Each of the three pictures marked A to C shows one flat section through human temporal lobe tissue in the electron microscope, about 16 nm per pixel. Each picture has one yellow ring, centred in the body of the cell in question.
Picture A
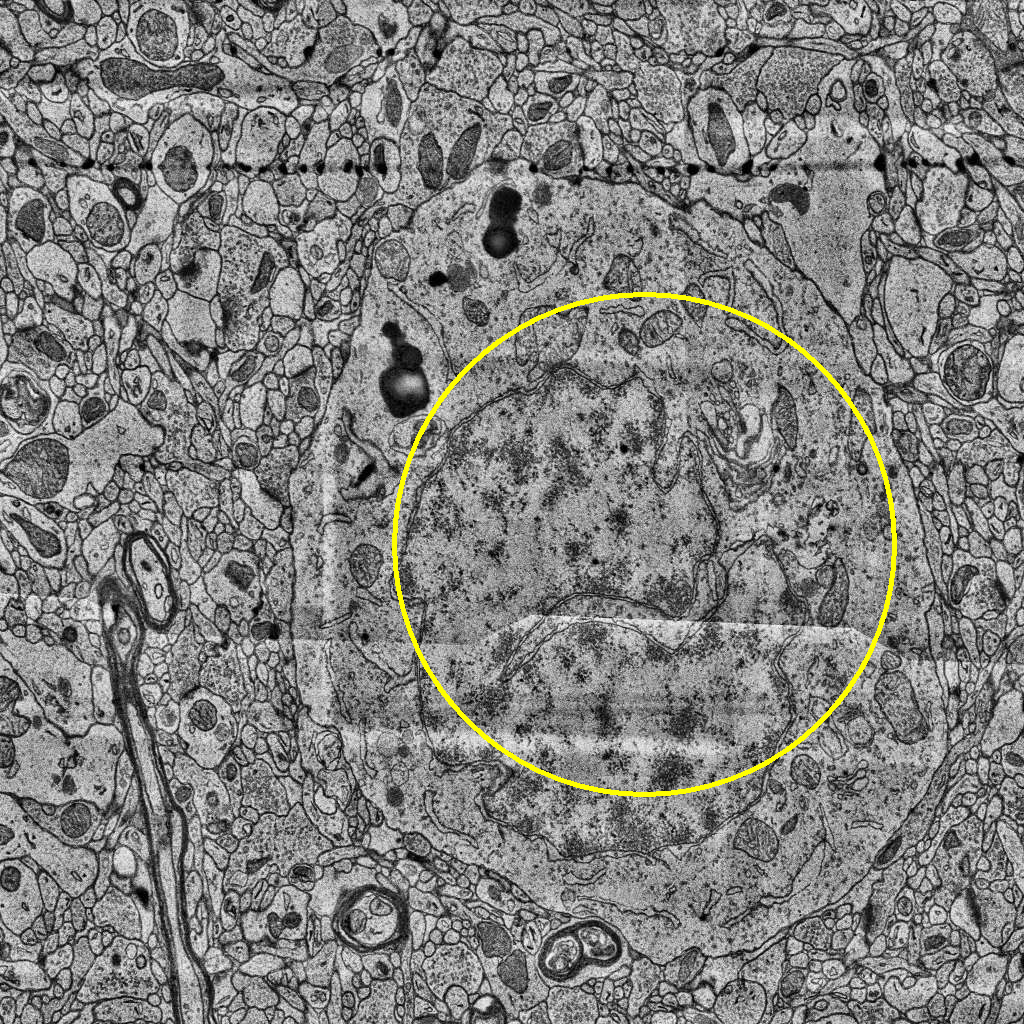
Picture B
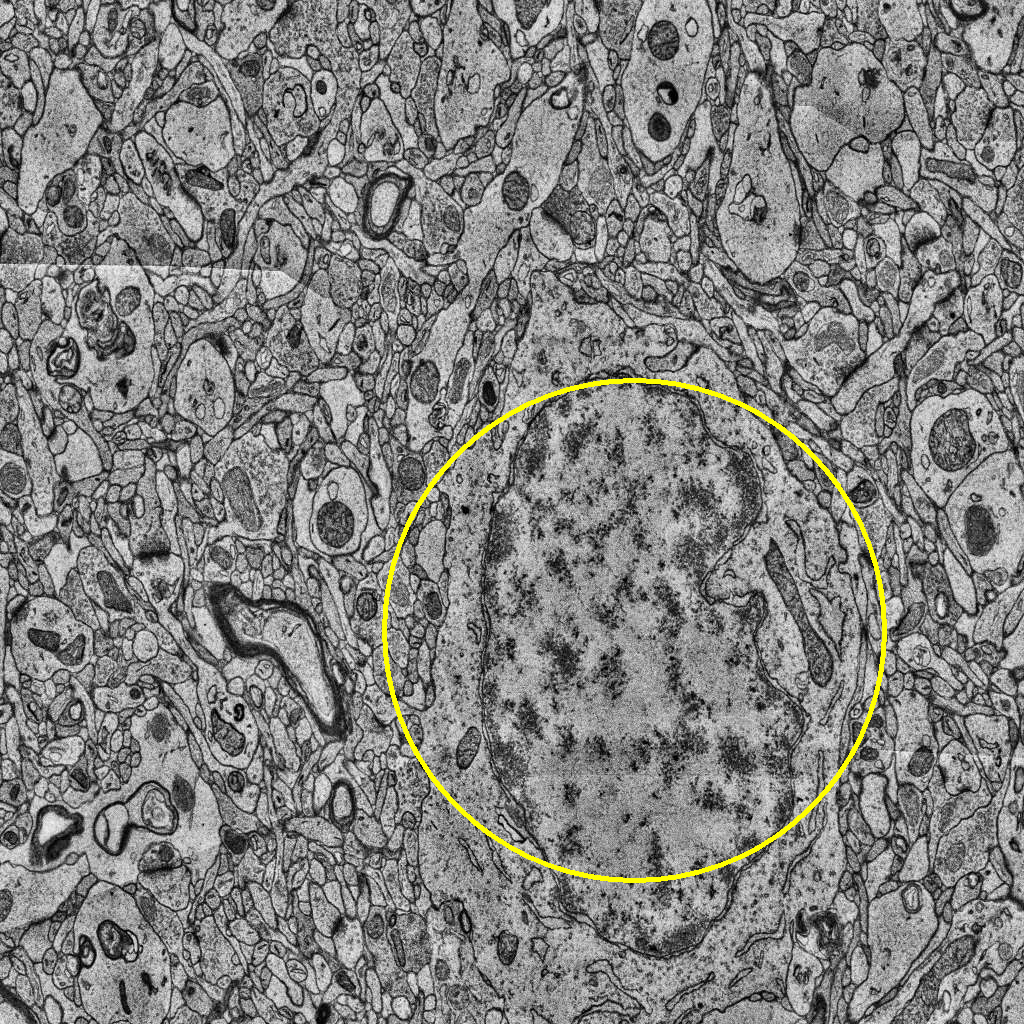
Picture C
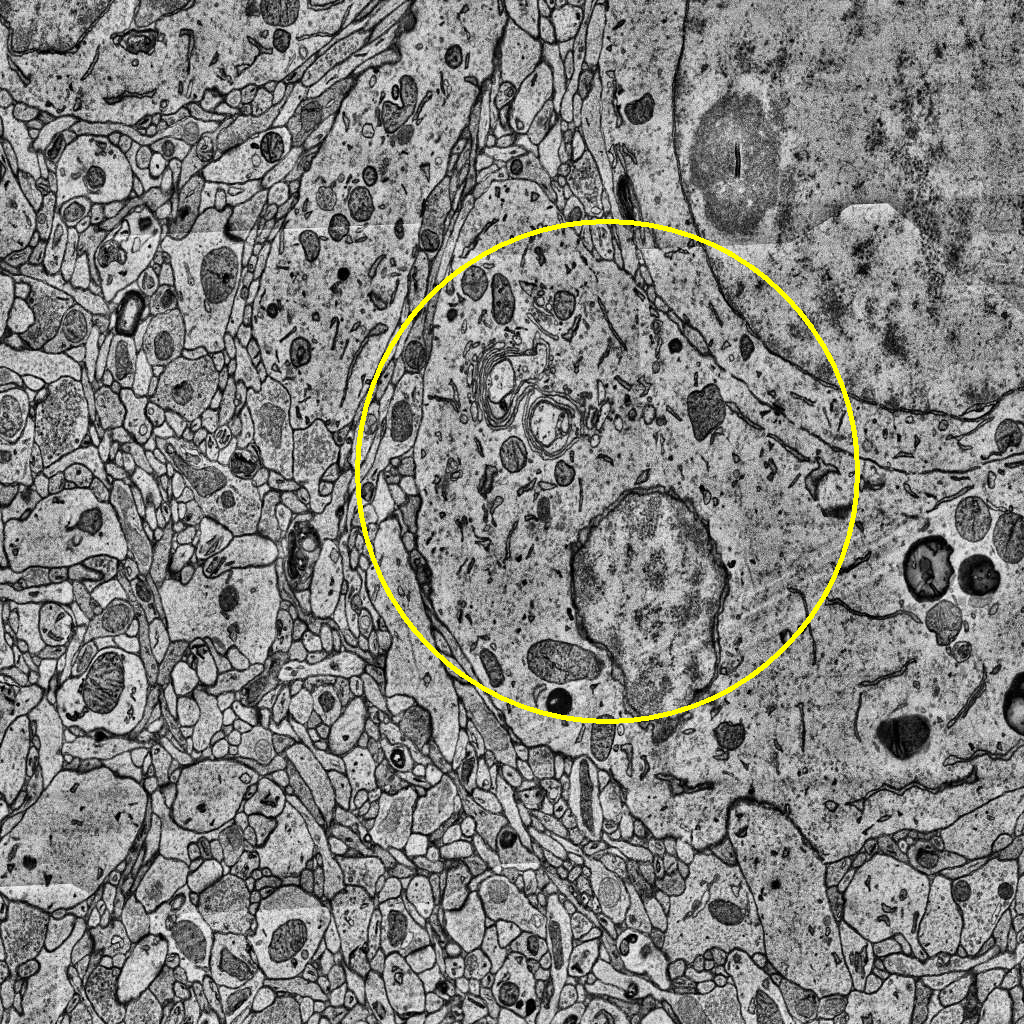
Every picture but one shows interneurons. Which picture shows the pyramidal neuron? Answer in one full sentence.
The pyramidal neuron is the one in picture C.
